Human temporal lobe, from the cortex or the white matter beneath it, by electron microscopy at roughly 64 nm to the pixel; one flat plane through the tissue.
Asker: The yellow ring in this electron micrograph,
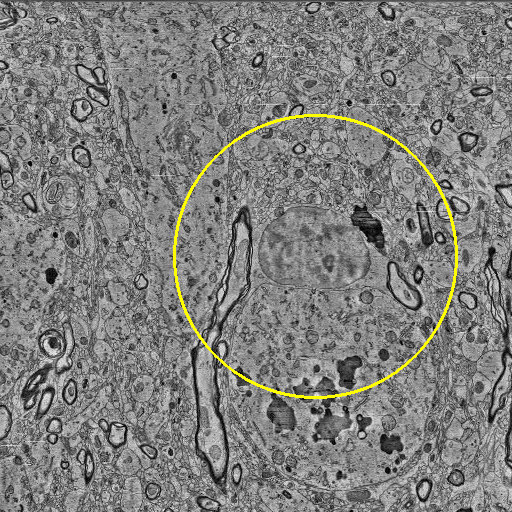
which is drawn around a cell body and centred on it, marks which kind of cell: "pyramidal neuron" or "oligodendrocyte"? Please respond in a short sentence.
The marked cell is an oligodendrocyte.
